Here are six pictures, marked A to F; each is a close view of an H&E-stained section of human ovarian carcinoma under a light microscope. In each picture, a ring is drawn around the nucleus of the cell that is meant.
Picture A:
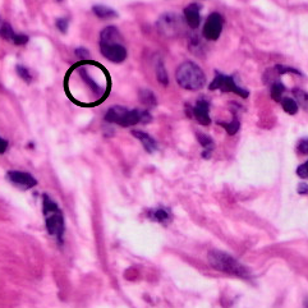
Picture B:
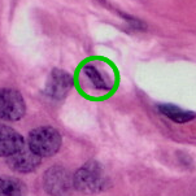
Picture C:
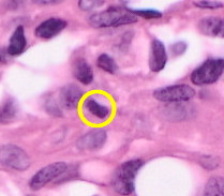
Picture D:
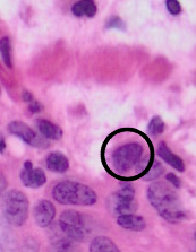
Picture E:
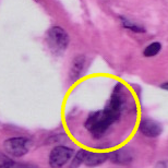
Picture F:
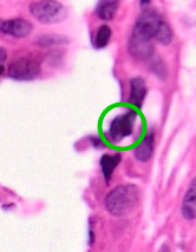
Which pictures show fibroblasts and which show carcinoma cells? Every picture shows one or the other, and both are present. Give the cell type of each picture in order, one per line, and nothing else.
fibroblast
fibroblast
carcinoma cell
carcinoma cell
carcinoma cell
carcinoma cell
